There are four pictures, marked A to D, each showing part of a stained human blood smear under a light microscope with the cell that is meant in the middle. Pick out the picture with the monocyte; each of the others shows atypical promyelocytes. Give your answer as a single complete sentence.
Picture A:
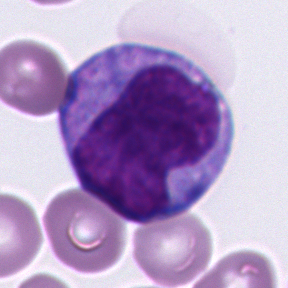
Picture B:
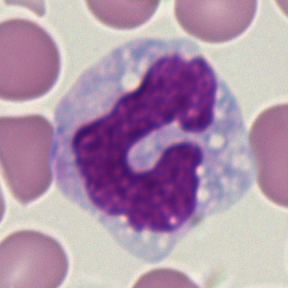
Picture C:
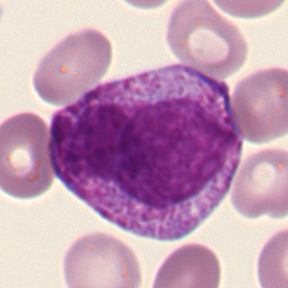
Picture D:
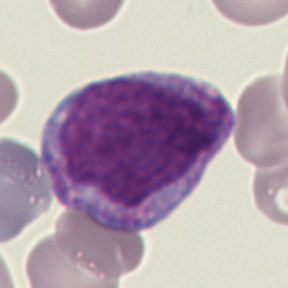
The picture with the monocyte is B.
